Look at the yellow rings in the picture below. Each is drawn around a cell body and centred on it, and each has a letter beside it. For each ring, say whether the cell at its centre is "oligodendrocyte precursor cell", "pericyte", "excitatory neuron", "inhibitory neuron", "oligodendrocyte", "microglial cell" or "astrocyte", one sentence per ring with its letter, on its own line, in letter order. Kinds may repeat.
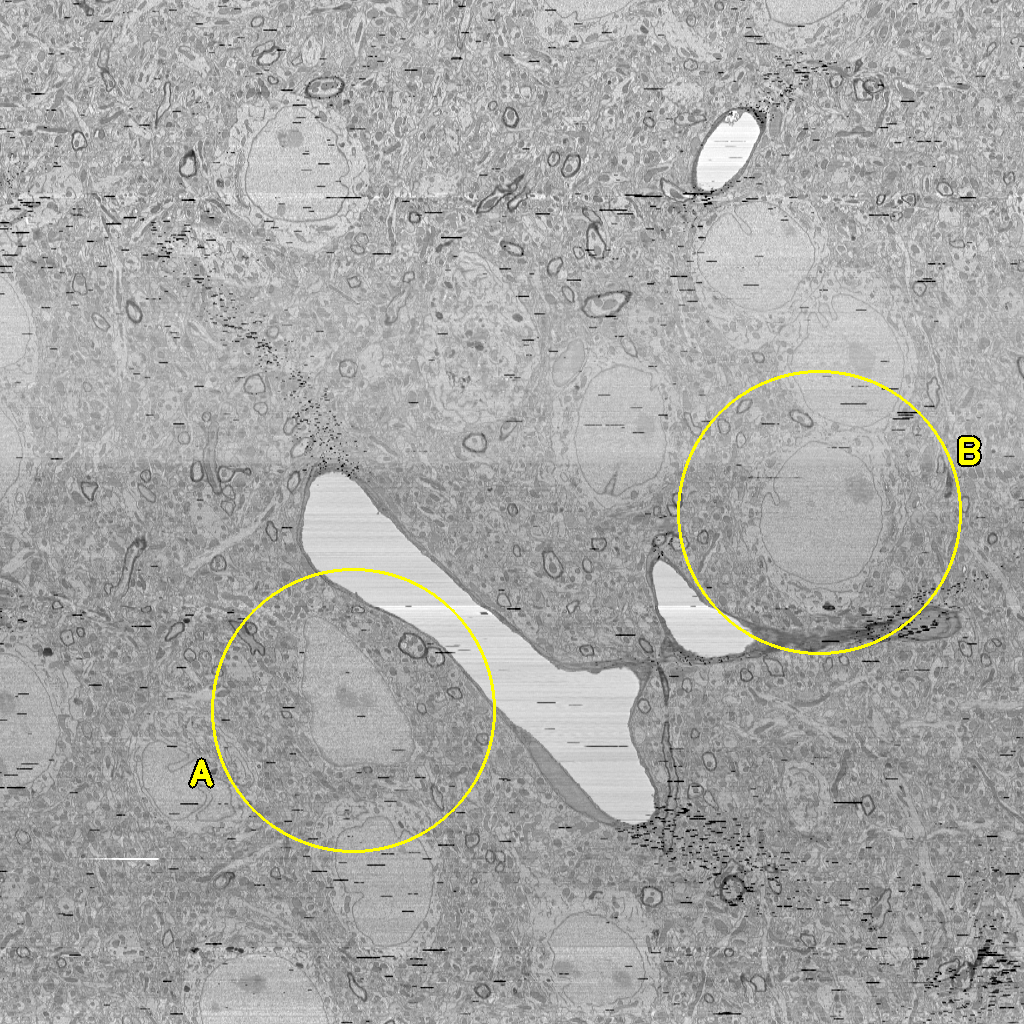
The centred cell of ring A is an astrocyte.
The centred cell of ring B is an excitatory neuron.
